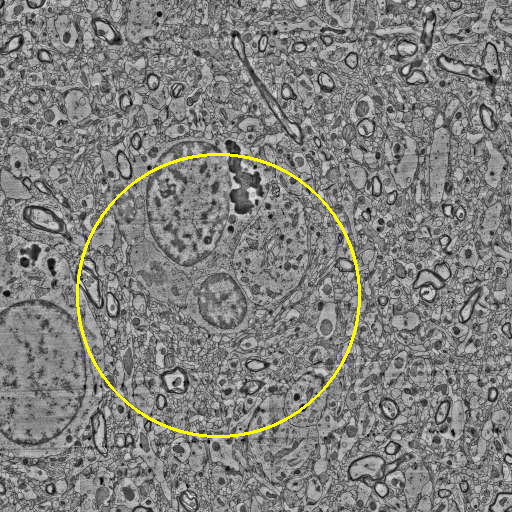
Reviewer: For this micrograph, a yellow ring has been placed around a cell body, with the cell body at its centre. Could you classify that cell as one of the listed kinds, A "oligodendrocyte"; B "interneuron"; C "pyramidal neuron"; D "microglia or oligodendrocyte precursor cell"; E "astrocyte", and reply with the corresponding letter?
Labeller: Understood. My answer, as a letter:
A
